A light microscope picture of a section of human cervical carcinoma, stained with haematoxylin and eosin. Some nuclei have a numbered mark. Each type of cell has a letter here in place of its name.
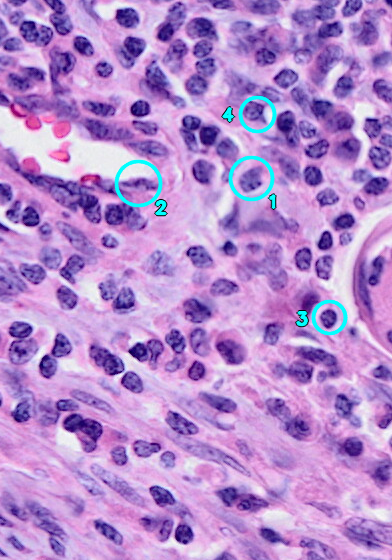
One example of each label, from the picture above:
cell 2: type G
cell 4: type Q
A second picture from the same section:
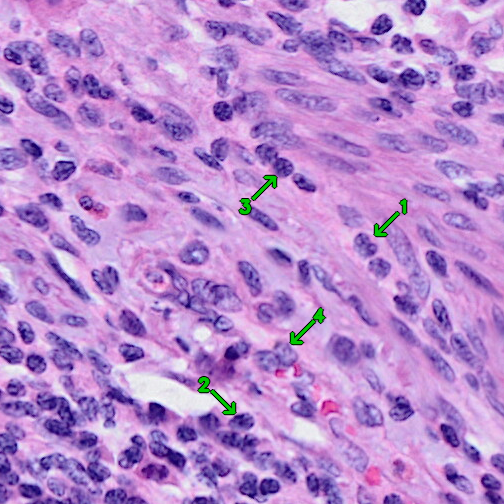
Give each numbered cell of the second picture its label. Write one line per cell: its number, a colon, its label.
1: type Q
2: type Q
3: type Q
4: type G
